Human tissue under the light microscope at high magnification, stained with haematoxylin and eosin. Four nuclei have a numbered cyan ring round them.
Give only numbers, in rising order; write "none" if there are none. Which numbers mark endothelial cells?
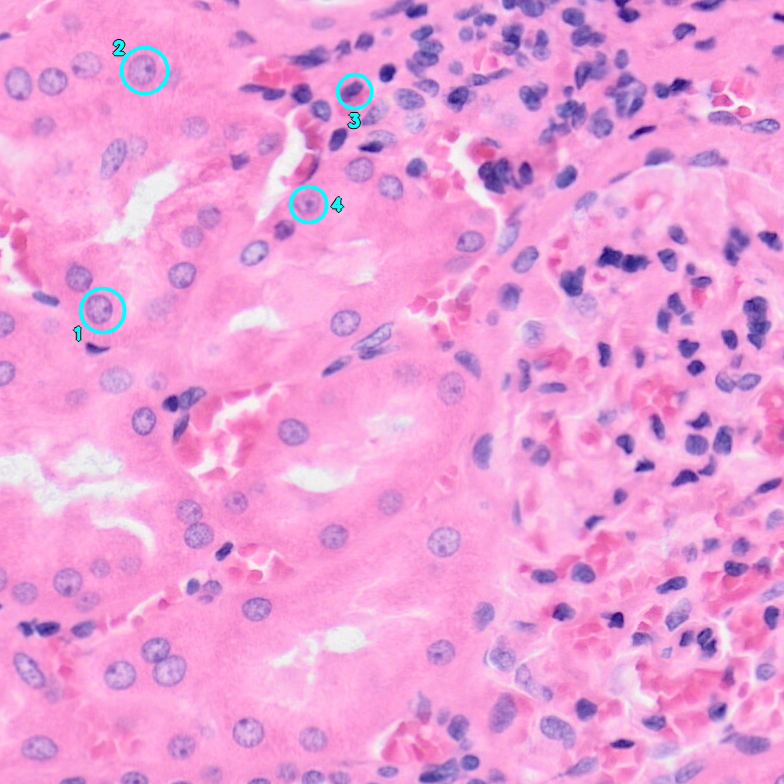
3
